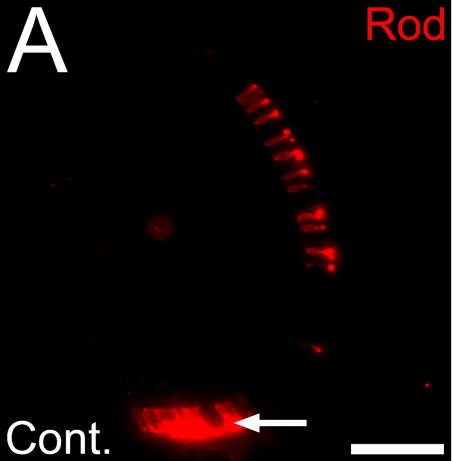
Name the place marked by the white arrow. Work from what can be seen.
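A dense, bright cluster of red elongated cells lies at the bottom edge of the eye. Elsewhere the red cells are sparse and spaced along the outer edge. That points to this answer: ventral patch.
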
